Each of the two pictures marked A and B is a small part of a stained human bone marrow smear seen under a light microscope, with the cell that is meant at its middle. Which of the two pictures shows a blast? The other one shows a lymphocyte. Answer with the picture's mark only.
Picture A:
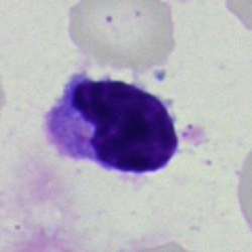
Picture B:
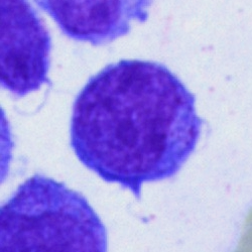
B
